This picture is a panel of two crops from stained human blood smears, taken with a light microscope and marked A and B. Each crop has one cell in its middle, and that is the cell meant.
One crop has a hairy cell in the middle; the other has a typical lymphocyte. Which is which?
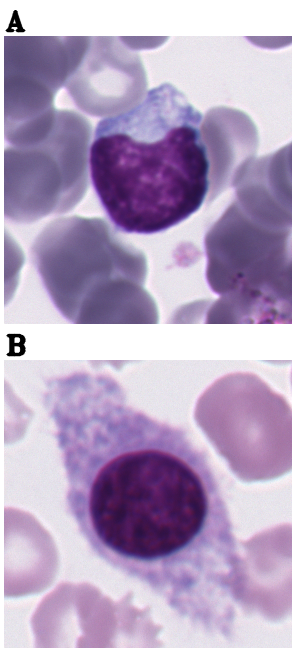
A: typical lymphocyte
B: hairy cell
